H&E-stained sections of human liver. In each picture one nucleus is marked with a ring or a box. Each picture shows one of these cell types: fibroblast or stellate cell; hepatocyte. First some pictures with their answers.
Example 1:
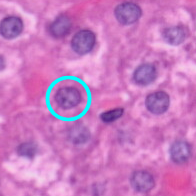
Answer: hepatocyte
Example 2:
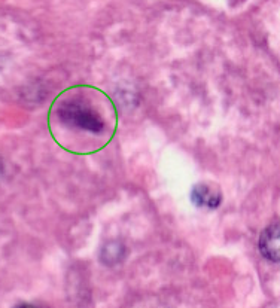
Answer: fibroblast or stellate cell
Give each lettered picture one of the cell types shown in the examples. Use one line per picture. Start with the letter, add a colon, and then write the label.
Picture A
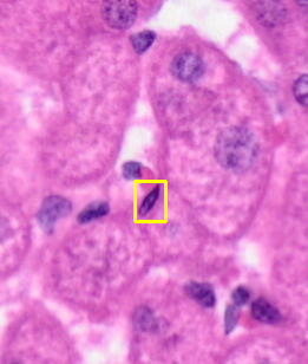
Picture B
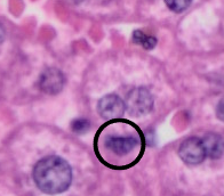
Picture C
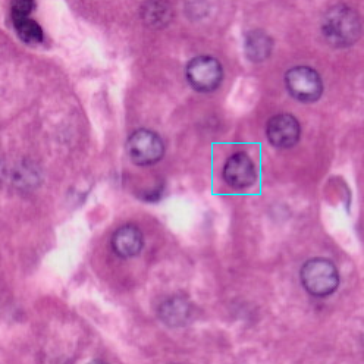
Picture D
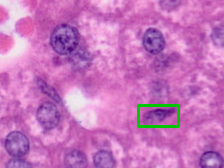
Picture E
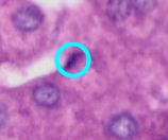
A: fibroblast or stellate cell
B: fibroblast or stellate cell
C: hepatocyte
D: fibroblast or stellate cell
E: fibroblast or stellate cell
